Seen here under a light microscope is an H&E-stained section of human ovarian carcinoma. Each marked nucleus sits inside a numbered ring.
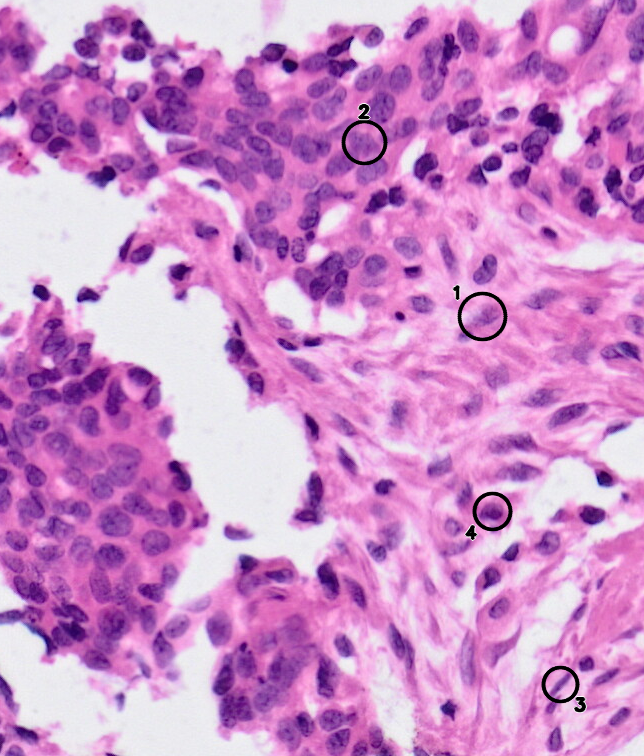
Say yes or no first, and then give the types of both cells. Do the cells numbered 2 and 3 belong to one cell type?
No, cell 2 is a carcinoma cell and cell 3 is a fibroblast.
